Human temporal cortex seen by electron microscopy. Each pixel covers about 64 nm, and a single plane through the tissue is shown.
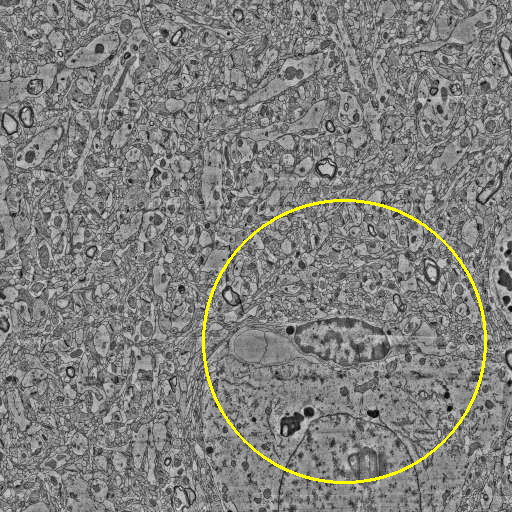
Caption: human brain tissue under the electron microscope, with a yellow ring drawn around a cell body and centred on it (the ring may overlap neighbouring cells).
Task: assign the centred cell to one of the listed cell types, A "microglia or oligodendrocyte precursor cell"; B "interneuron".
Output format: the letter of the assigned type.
A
